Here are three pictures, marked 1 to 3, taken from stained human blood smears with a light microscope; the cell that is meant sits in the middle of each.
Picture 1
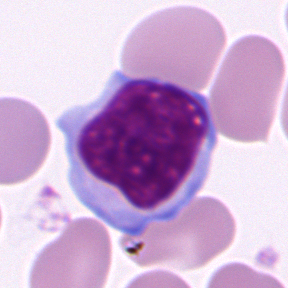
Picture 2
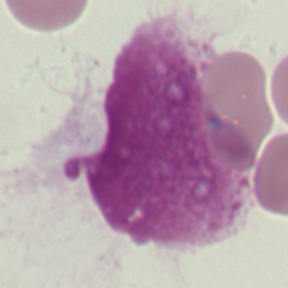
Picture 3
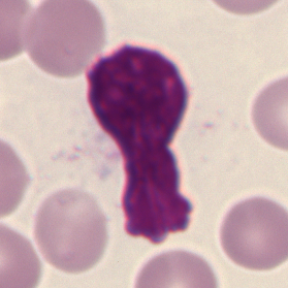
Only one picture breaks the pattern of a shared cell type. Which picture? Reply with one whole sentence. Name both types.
The different one is picture 1; it shows a typical lymphocyte, whereas all the others show smudge cells.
